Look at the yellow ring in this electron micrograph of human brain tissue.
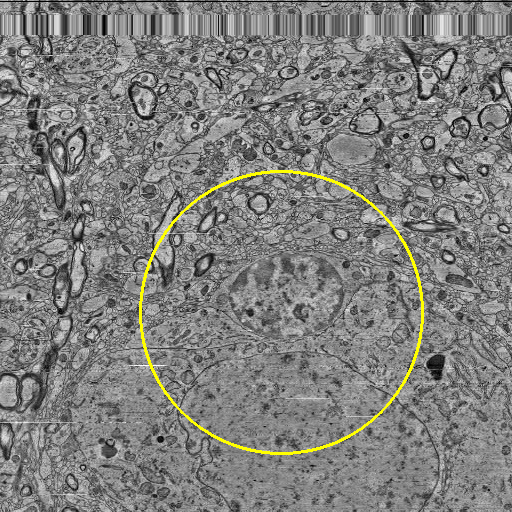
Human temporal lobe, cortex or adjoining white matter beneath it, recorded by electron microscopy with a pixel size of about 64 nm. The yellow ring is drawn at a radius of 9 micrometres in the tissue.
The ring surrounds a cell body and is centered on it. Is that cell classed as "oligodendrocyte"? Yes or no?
Yes, that is its cell type.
